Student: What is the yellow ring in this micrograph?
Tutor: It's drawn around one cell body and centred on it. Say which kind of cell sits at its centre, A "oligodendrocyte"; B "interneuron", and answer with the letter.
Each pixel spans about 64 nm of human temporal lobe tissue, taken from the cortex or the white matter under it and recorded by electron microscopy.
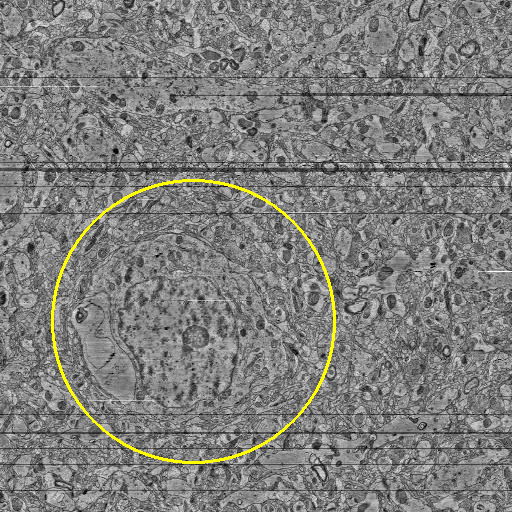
B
